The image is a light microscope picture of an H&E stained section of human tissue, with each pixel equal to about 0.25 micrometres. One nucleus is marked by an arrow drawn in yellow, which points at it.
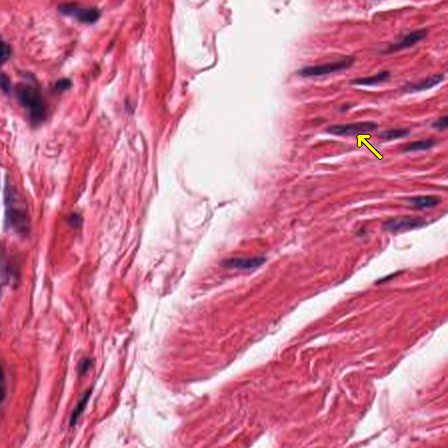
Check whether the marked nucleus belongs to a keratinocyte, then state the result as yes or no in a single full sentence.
No, the marked nucleus does not form part of a keratinocyte.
